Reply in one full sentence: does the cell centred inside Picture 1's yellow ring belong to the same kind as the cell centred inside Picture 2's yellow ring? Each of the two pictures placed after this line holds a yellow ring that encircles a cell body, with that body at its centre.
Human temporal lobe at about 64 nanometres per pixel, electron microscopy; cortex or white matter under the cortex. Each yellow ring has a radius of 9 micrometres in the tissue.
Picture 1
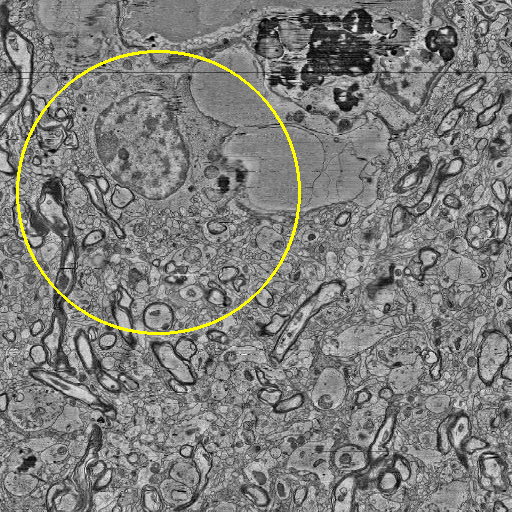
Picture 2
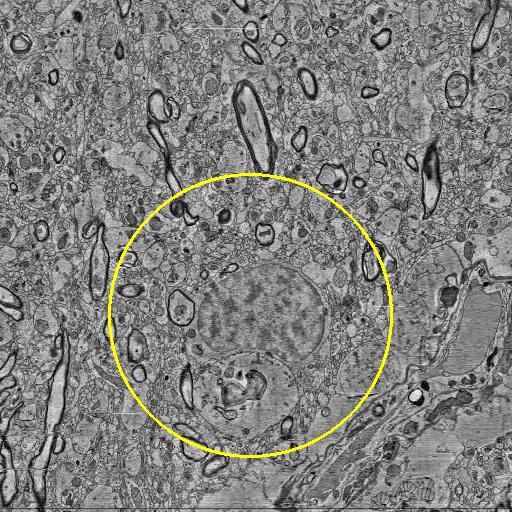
Yes, the ring-centred cells in Picture 1 and Picture 2 are of one and the same kind.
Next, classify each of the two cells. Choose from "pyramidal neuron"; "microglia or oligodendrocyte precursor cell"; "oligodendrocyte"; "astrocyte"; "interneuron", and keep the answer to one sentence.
The second cell is an oligodendrocyte, just as the first is.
